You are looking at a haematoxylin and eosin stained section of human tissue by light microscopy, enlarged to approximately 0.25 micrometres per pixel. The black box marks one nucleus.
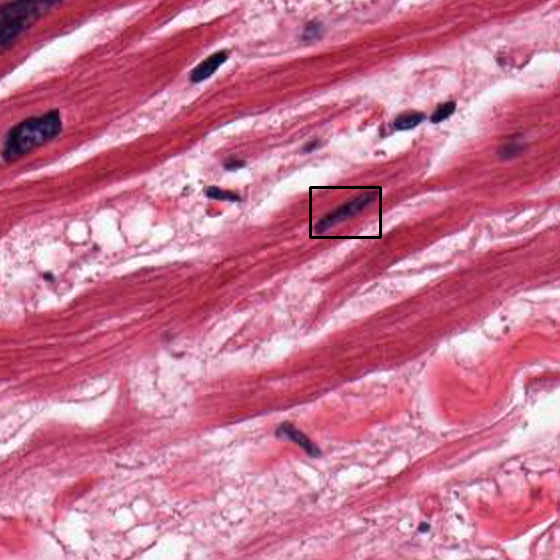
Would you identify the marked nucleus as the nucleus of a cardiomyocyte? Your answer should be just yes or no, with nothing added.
yes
